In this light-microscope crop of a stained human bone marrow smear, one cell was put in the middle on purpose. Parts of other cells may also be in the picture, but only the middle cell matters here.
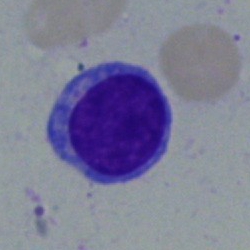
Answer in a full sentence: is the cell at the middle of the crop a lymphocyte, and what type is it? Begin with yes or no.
Yes, within this crop, the central cell is a lymphocyte.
